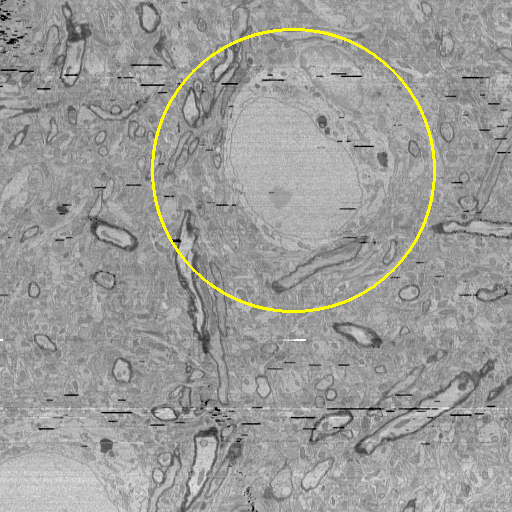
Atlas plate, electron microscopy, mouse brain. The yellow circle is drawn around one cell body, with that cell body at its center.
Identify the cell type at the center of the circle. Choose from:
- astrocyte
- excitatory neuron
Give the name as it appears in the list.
excitatory neuron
